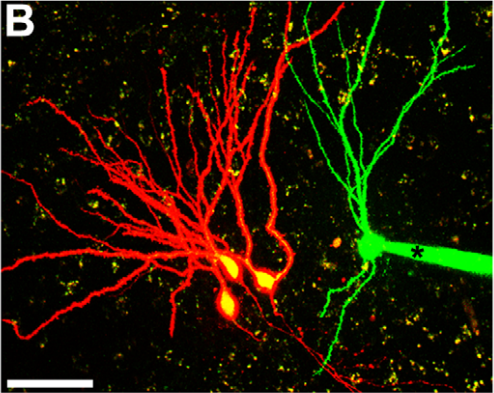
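Neighbouring granule cells of the dentate gyrus are filled in red and green. A small group of red cells sits close together, their dendrites branching upward, while a single green cell to the right has its own dendritic tree and is joined by a thick green pipette. Fine red processes also run downward from the red cells.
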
